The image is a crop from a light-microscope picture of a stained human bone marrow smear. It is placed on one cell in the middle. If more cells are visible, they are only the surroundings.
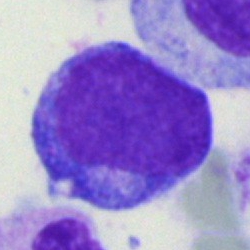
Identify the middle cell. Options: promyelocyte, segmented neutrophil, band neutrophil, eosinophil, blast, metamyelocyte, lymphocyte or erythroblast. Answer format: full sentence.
Whatever else lies nearby, the middle cell is a blast.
